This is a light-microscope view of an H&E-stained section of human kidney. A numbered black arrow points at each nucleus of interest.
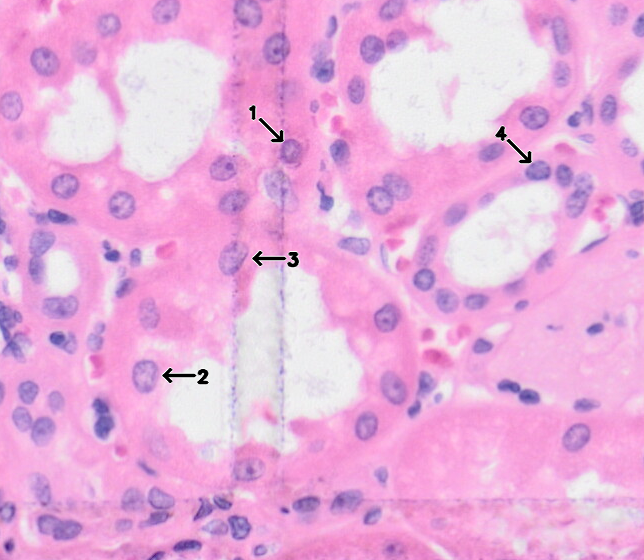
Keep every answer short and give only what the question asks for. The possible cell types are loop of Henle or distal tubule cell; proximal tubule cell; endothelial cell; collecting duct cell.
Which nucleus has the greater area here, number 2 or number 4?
2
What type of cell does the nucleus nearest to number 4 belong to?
collecting duct cell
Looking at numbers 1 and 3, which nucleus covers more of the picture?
3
